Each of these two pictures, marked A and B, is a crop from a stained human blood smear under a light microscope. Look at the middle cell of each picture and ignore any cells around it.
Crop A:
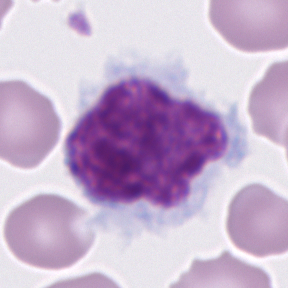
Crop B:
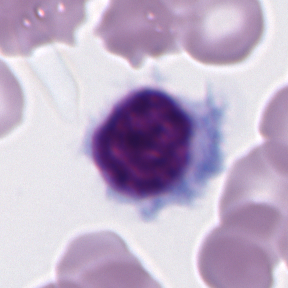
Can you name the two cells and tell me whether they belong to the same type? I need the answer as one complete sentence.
Yes, the reply for both crops is hairy cells.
